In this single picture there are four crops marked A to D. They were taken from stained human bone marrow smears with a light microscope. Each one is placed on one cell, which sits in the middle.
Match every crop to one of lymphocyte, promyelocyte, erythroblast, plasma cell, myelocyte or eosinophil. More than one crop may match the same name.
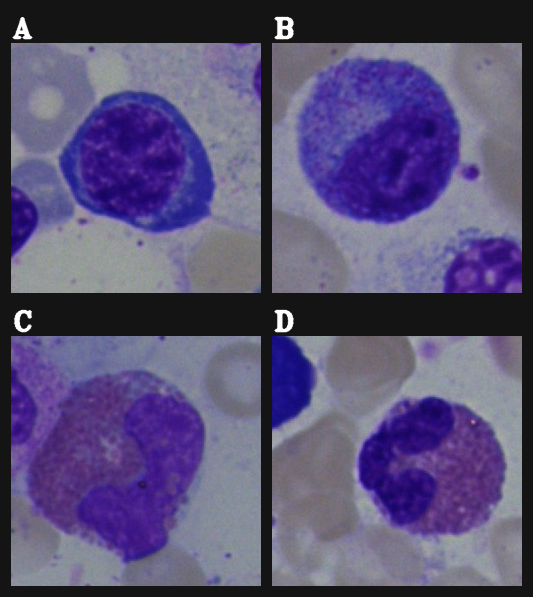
A: erythroblast
B: promyelocyte
C: eosinophil
D: eosinophil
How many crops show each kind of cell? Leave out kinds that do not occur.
eosinophil: 2
erythroblast: 1
promyelocyte: 1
